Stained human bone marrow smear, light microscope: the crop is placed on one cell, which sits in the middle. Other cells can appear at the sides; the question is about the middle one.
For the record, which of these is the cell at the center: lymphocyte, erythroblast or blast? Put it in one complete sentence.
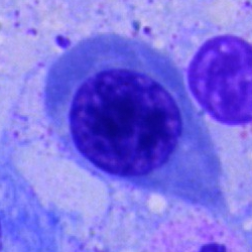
Seen at the centre of the crop is an erythroblast.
